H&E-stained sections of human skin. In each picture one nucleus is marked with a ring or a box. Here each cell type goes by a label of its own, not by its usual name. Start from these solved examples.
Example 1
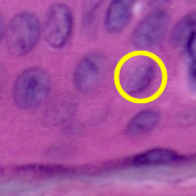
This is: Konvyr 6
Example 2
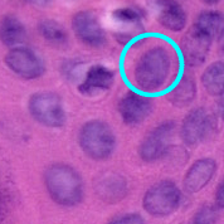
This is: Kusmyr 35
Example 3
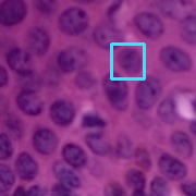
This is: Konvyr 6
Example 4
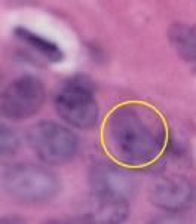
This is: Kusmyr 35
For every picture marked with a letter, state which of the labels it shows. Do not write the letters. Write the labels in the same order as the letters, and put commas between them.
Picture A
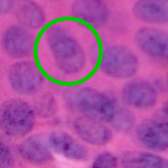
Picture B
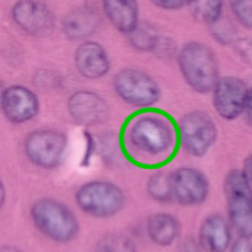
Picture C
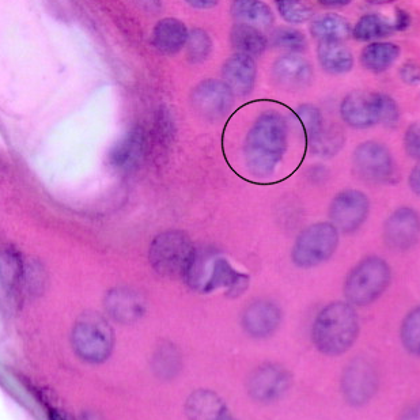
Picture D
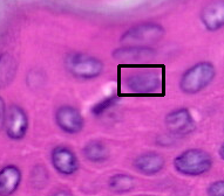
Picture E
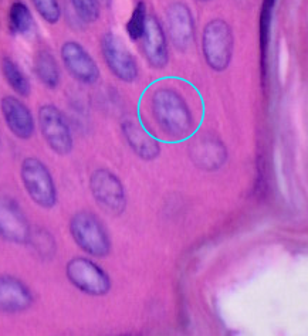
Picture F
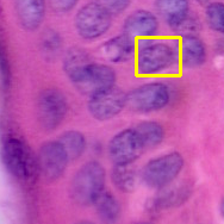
Konvyr 6, Konvyr 6, Konvyr 6, Konvyr 6, Konvyr 6, Kusmyr 35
